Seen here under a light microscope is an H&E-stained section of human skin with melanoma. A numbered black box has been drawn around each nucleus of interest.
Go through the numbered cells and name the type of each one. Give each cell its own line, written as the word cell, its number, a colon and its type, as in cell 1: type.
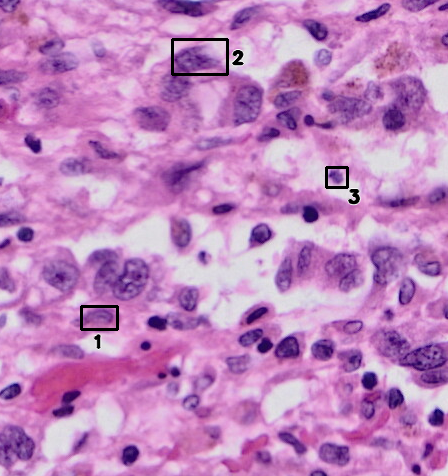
cell 1: macrophage or monocyte
cell 2: melanoma cell
cell 3: lymphocyte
